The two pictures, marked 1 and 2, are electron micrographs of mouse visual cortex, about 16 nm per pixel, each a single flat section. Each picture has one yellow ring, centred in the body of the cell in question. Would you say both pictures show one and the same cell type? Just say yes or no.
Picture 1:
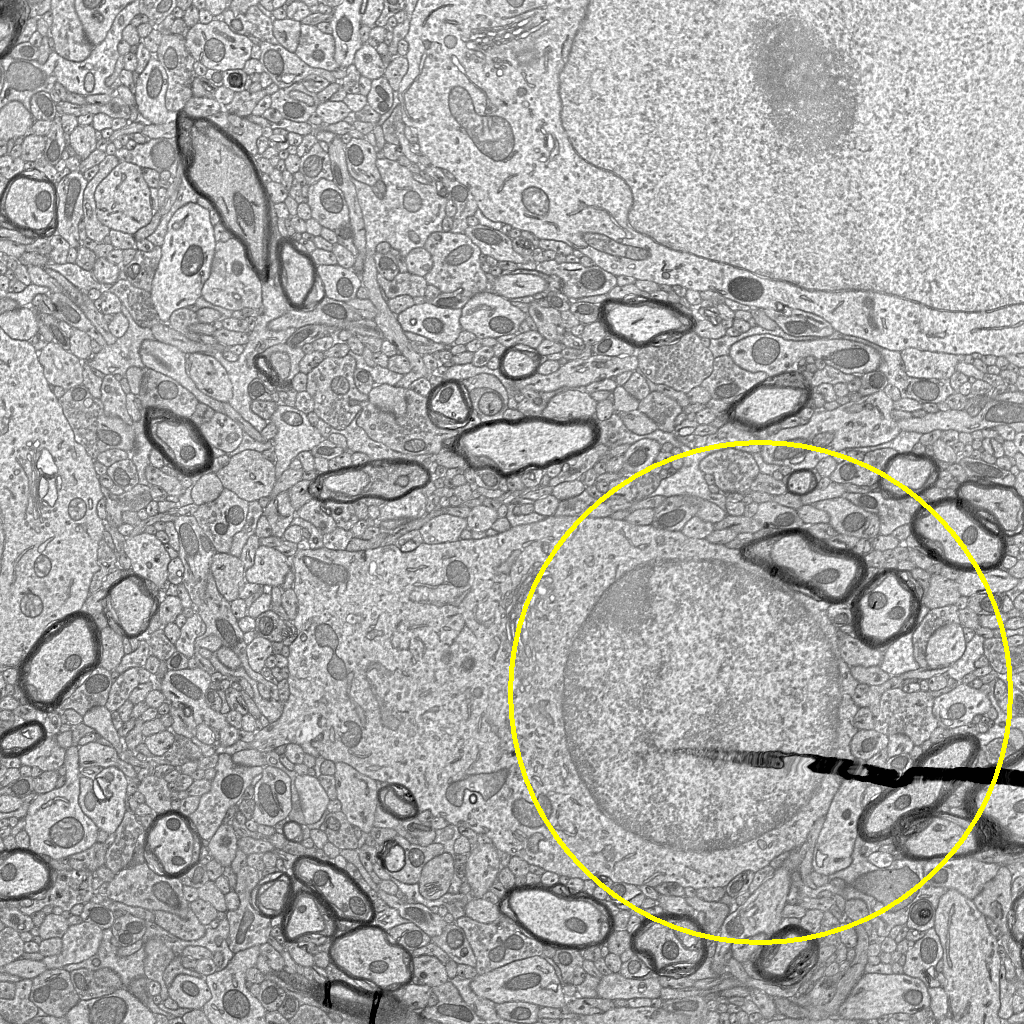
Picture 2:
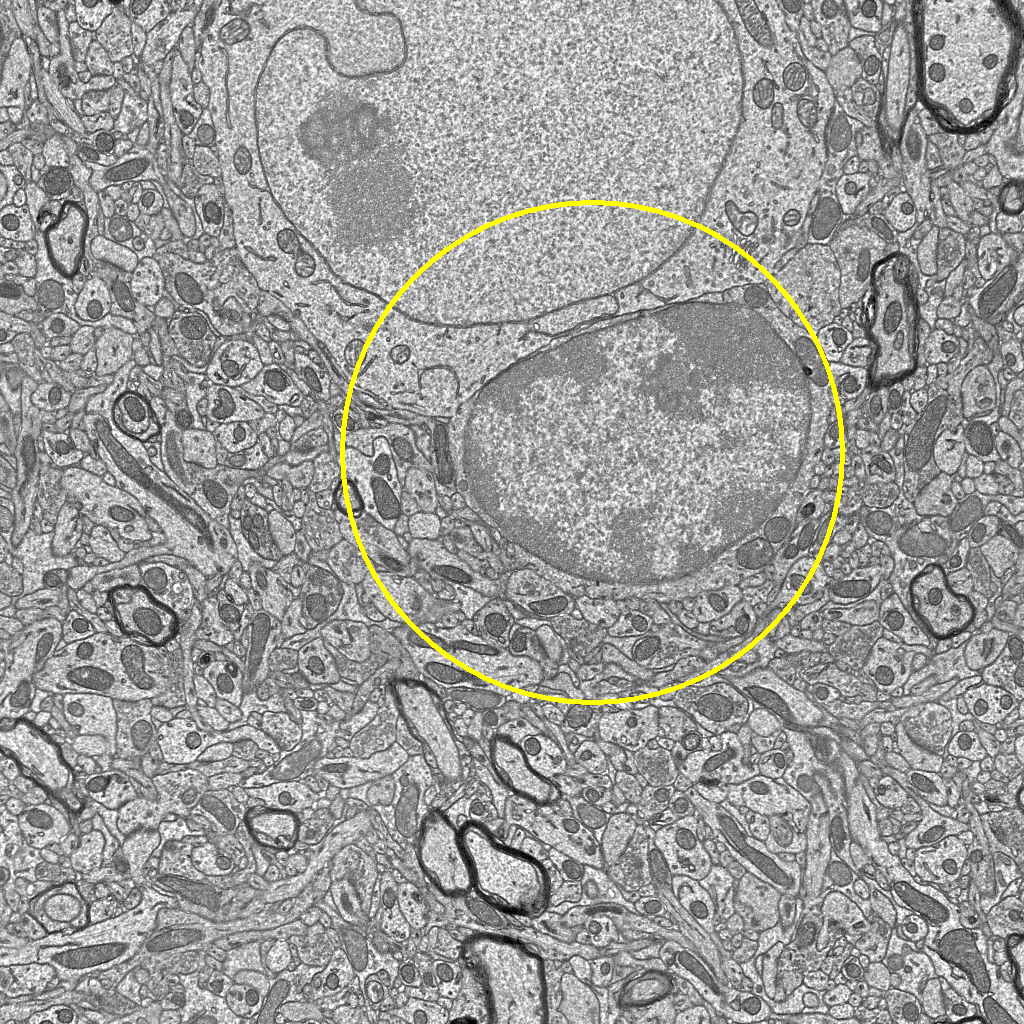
yes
